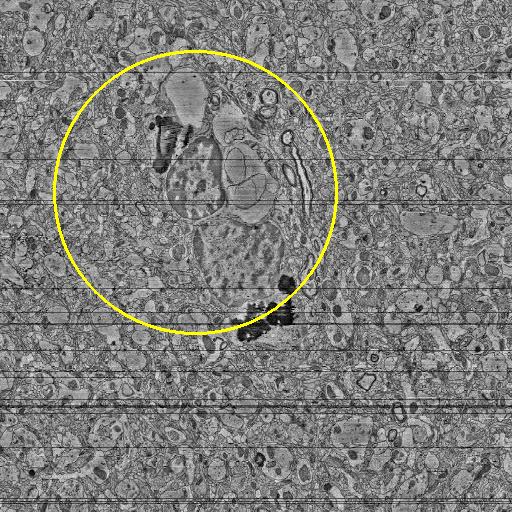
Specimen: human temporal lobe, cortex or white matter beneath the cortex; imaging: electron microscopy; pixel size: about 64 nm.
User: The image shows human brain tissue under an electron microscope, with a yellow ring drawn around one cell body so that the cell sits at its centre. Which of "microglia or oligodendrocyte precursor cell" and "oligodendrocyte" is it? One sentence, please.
At the centre of the ring sits a microglial cell or oligodendrocyte precursor cell.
